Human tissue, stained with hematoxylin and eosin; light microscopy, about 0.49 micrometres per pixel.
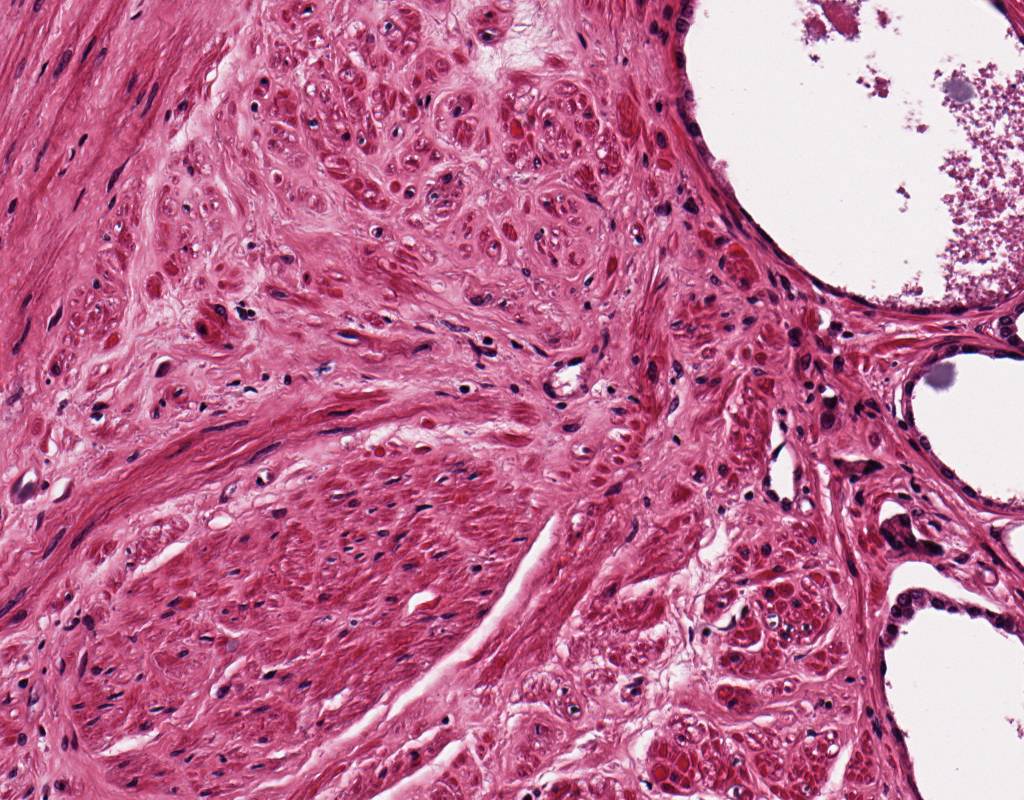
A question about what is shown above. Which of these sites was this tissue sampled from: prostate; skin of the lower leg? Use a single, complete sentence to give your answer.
In this section is tissue sampled from the prostate.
